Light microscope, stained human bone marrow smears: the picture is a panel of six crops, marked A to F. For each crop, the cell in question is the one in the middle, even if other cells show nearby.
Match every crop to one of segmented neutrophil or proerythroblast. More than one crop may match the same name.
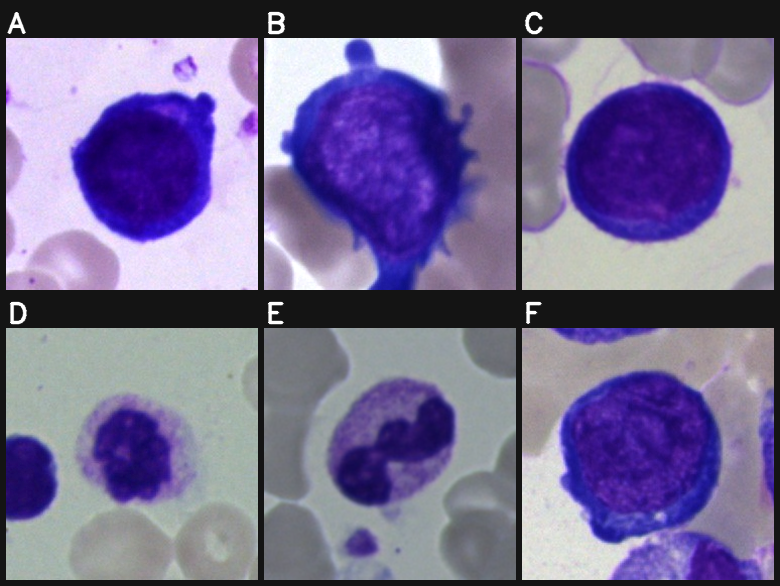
A: proerythroblast
B: proerythroblast
C: proerythroblast
D: segmented neutrophil
E: segmented neutrophil
F: proerythroblast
